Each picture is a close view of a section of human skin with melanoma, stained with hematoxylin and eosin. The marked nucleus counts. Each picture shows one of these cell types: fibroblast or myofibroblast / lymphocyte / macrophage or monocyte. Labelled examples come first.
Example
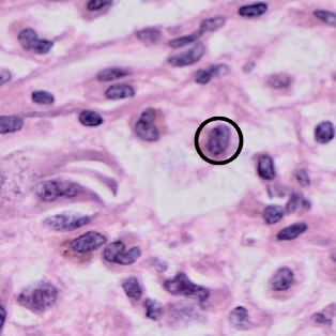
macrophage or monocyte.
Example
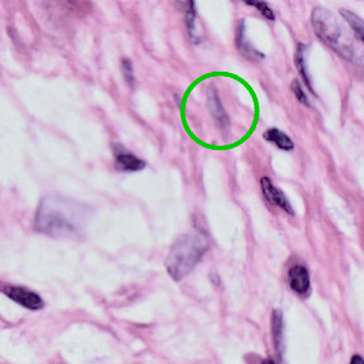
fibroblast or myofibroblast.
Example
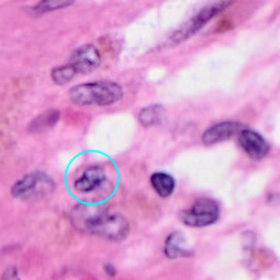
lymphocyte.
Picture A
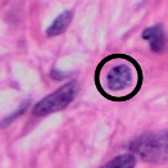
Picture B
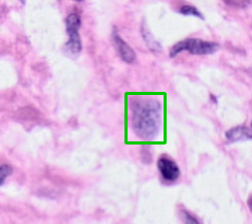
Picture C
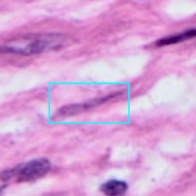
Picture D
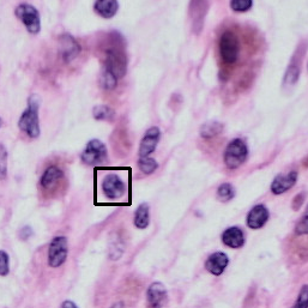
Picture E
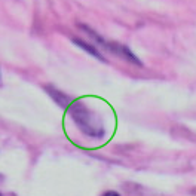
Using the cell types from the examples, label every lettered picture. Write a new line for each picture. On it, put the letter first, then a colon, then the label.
A: lymphocyte.
B: fibroblast or myofibroblast.
C: fibroblast or myofibroblast.
D: lymphocyte.
E: fibroblast or myofibroblast.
